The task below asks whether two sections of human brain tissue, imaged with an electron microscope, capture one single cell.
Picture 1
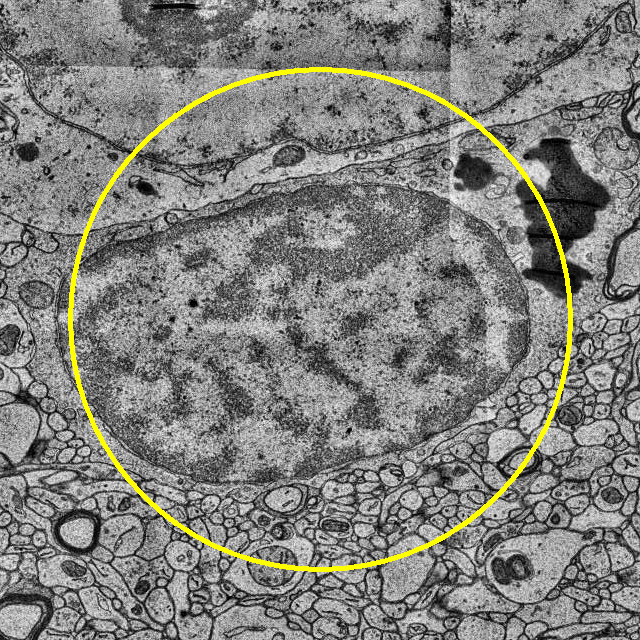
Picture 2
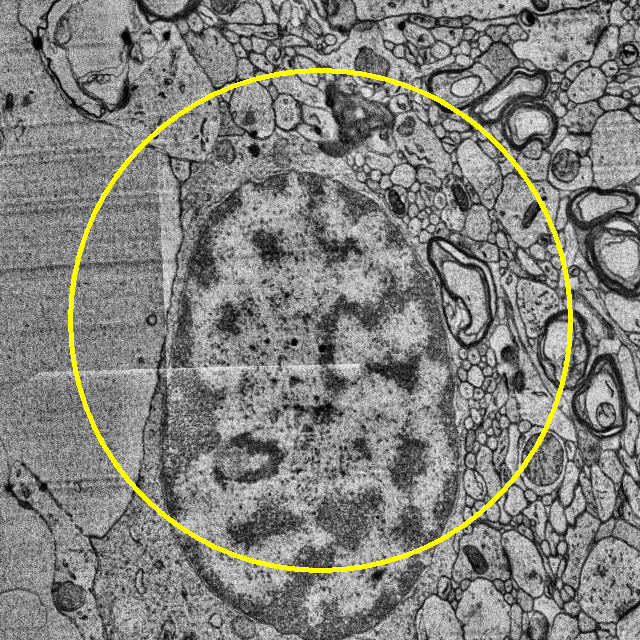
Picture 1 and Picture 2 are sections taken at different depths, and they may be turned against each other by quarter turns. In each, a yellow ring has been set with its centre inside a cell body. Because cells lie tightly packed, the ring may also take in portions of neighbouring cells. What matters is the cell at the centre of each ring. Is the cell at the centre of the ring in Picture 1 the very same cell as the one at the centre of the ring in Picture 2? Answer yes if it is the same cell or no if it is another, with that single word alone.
no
